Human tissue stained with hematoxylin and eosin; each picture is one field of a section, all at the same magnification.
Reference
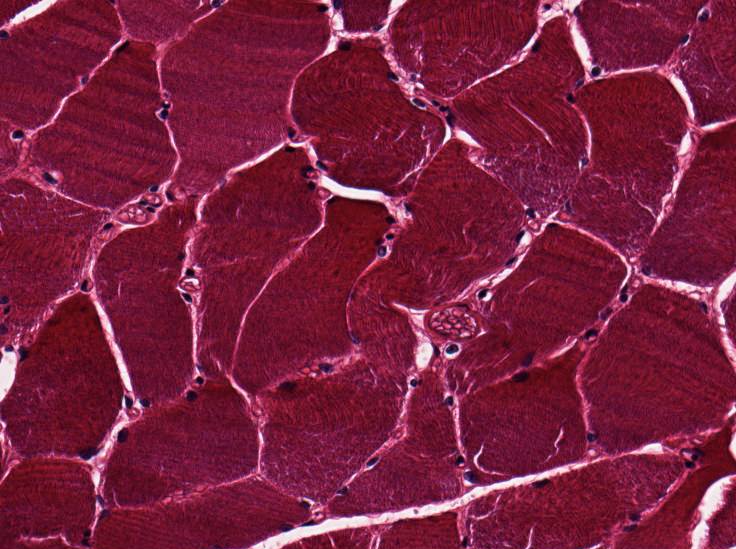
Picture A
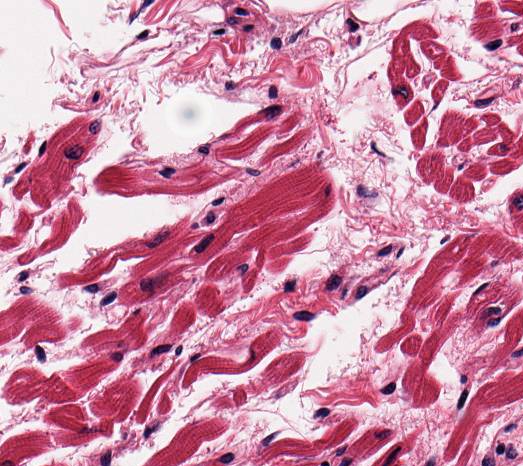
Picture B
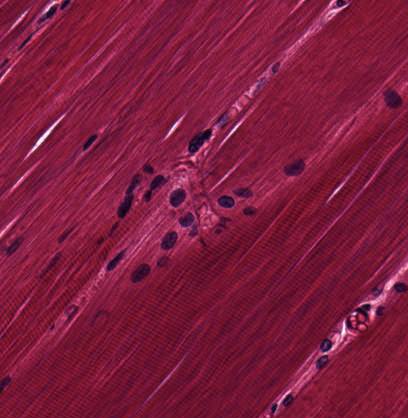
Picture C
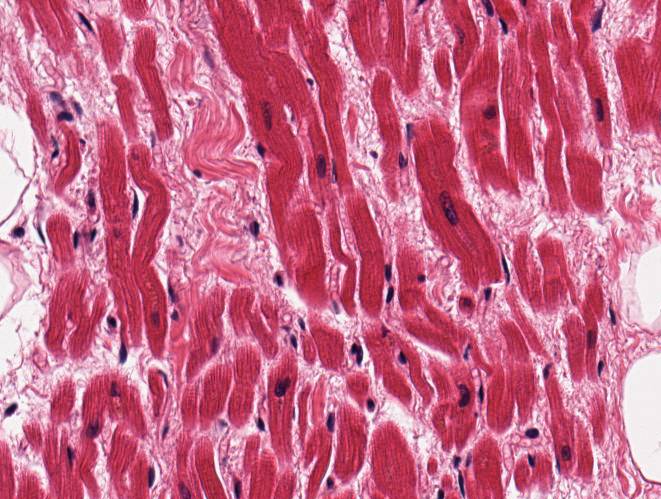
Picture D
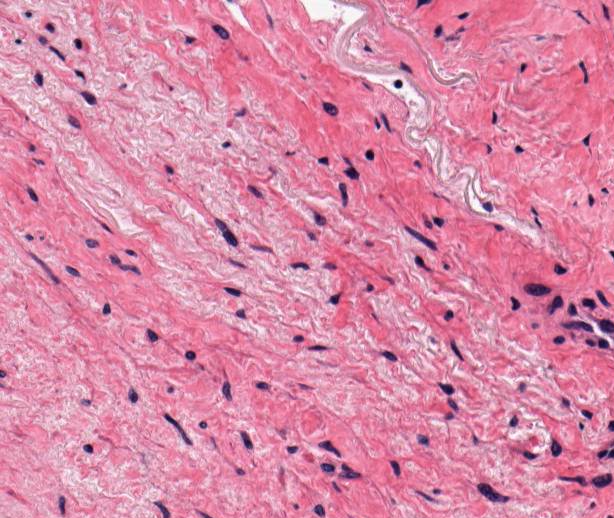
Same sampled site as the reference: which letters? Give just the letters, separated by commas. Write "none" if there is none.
B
